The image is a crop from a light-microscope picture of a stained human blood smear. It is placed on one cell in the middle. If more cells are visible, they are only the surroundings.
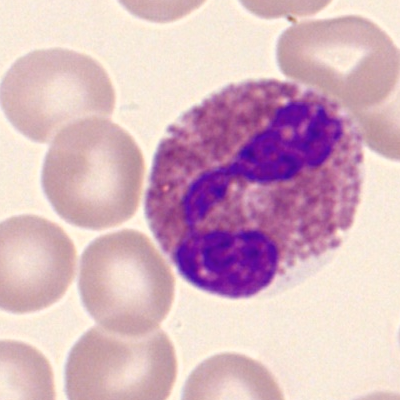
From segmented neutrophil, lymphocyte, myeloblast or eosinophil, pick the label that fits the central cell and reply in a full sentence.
The cell the crop is centered on is an eosinophil.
